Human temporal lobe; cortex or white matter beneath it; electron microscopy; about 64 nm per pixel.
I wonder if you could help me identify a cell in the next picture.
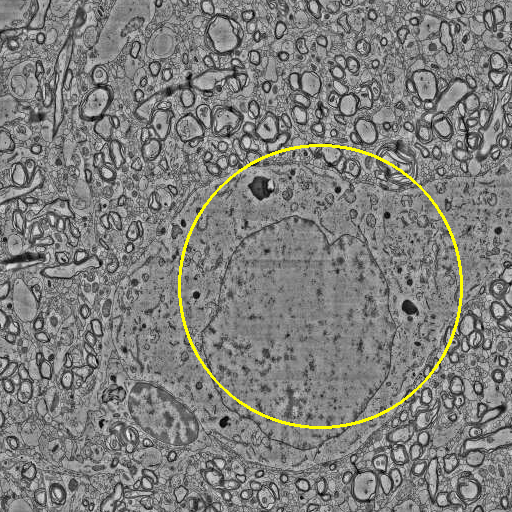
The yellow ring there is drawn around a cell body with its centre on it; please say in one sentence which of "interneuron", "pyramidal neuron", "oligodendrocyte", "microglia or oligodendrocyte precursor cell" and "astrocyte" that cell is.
The yellow ring is centred on a pyramidal neuron.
